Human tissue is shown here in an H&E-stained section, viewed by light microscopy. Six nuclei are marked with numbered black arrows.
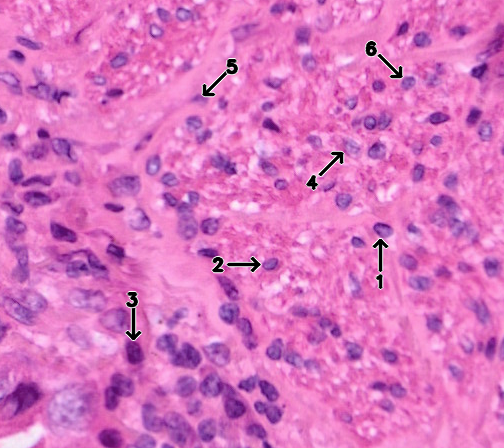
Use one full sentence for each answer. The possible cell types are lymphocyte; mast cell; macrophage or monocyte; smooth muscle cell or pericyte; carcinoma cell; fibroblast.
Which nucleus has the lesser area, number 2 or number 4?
With nucleus 4 about 1.5 times its size, nucleus 2 is the smaller of the two.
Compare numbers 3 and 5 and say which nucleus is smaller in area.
With nucleus 3 about 2 times its size, nucleus 5 is the smaller of the two.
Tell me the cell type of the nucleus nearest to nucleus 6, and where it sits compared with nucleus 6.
It is a smooth muscle cell or pericyte, whose nucleus lies to the right of nucleus 6.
